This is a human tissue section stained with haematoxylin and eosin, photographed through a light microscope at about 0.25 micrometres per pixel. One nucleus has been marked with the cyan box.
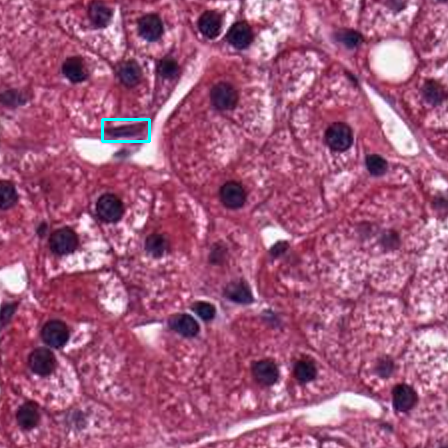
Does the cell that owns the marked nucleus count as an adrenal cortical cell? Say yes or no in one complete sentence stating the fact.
No, the marked nucleus is not the nucleus of an adrenal cortical cell but of a supporting cell.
